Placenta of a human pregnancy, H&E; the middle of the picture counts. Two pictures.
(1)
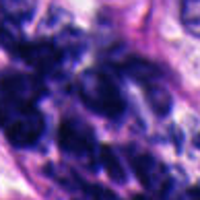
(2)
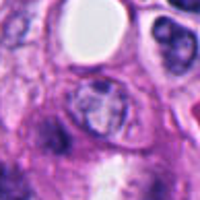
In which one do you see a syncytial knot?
In picture 1.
